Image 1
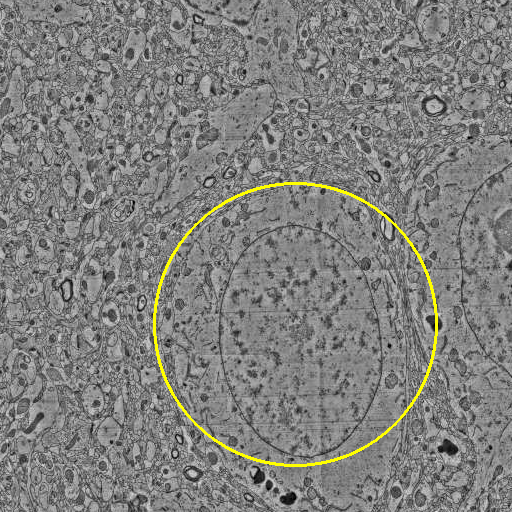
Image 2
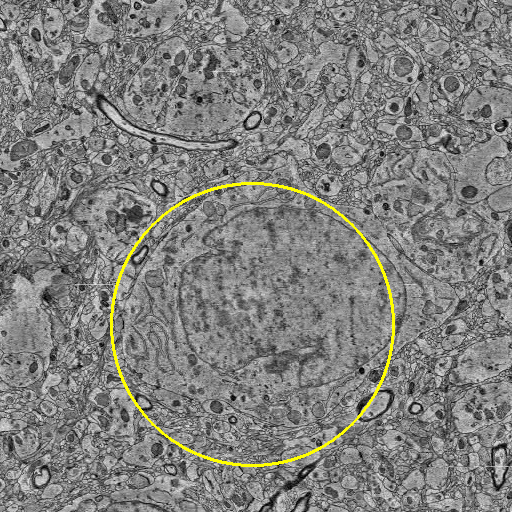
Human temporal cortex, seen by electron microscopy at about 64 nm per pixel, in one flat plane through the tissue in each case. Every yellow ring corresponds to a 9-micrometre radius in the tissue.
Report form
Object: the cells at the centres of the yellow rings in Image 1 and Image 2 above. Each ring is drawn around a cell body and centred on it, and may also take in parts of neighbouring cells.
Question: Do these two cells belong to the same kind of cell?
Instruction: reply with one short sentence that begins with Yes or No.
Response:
No, they belong to two kinds of cell.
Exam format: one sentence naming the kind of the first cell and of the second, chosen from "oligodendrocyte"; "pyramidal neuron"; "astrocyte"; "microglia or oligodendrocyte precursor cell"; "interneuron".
The first picture's cell is a pyramidal neuron, and the second picture's cell is an interneuron.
